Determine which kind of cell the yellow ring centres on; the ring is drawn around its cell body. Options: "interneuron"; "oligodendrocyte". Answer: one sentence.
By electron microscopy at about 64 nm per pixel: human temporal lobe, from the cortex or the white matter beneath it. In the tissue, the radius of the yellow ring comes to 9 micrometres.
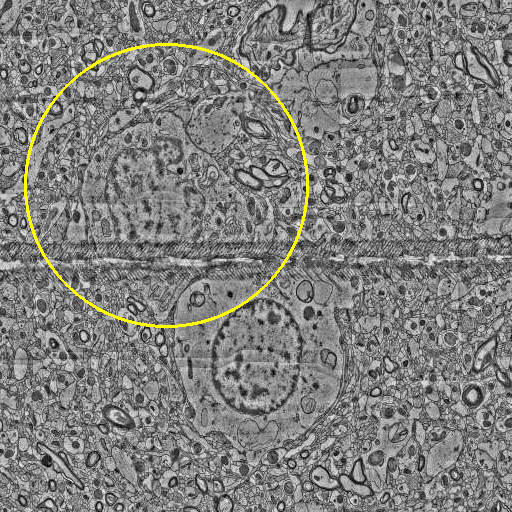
The ring centres on an interneuron.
